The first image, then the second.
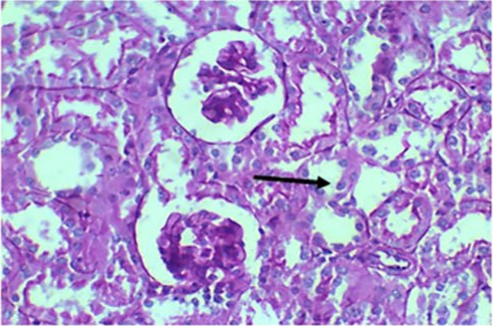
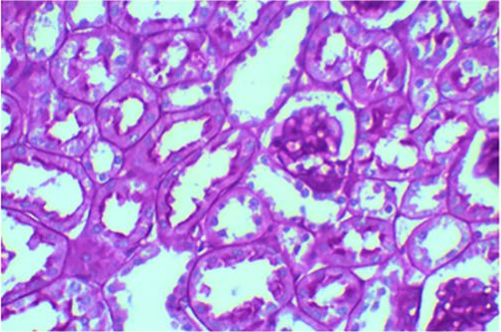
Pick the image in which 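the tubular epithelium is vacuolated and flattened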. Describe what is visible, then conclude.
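Second image: tubules are round with intact magenta-lined epithelium and open lumens. The answer: the first image.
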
